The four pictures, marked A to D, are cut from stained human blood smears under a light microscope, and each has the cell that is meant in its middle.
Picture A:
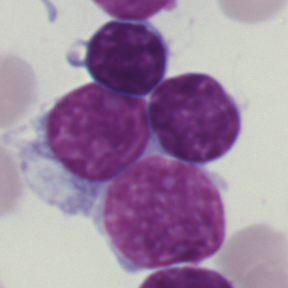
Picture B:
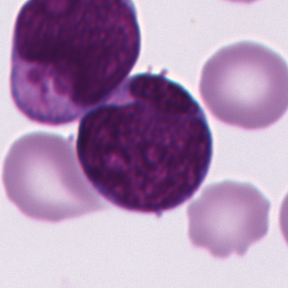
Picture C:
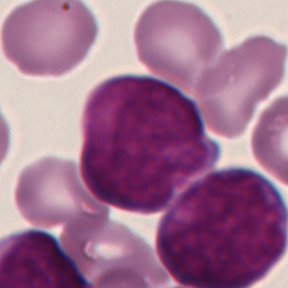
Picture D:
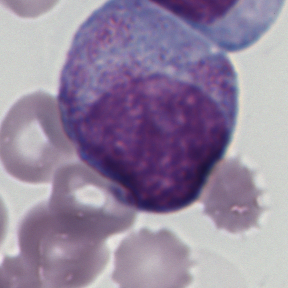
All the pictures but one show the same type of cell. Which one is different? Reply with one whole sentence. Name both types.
Picture D is the odd one out: it shows a promyelocyte, while the others show myeloblasts.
